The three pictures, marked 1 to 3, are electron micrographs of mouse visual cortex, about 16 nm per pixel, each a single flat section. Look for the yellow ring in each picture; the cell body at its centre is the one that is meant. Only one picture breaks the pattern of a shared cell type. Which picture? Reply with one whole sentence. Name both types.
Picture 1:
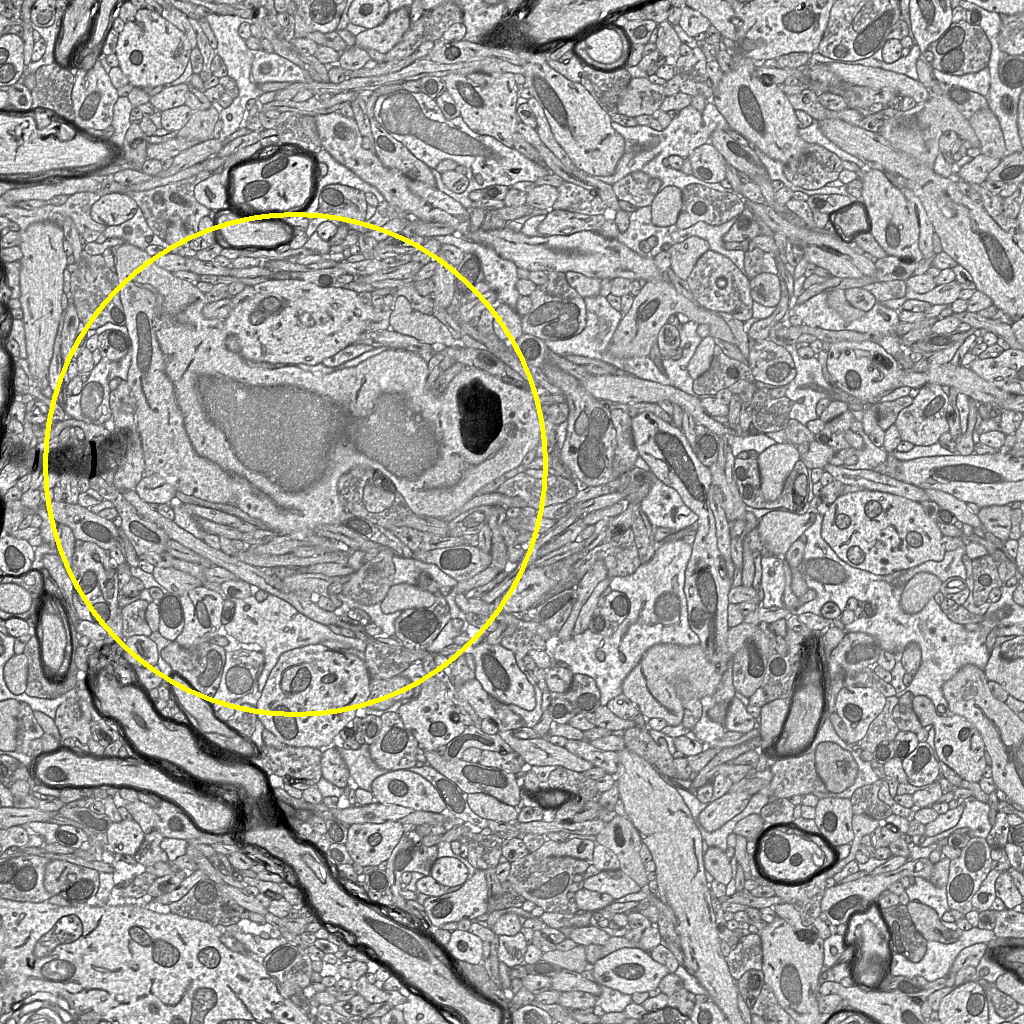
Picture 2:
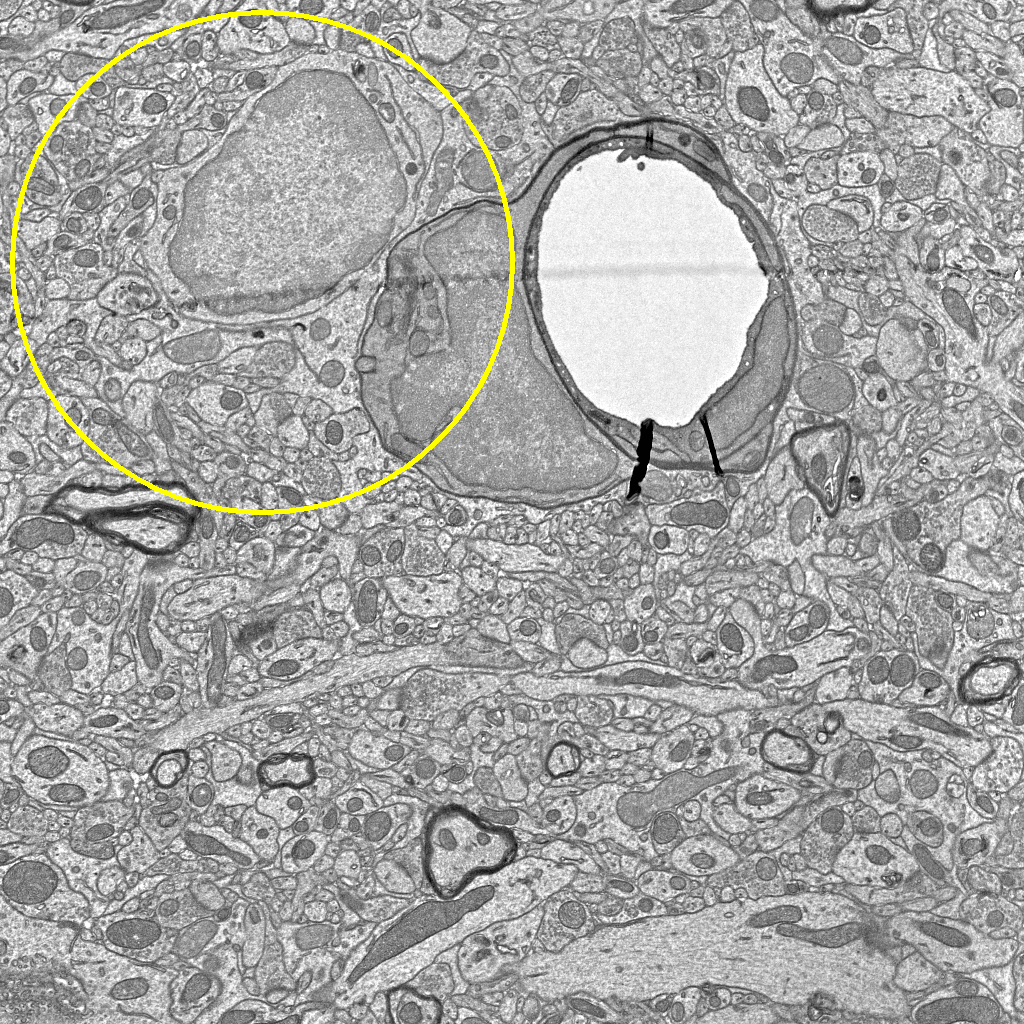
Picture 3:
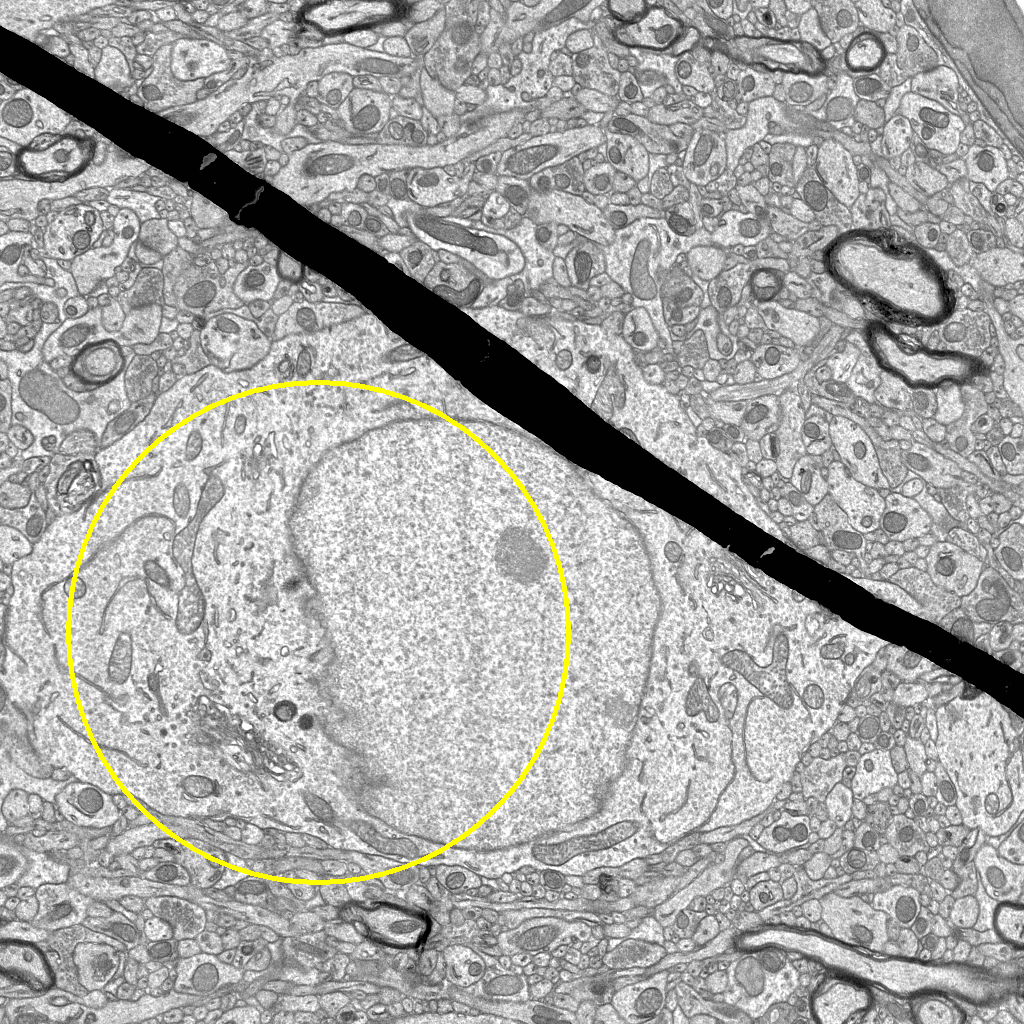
The others show microglial cells, but picture 3 shows an oligodendrocyte.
